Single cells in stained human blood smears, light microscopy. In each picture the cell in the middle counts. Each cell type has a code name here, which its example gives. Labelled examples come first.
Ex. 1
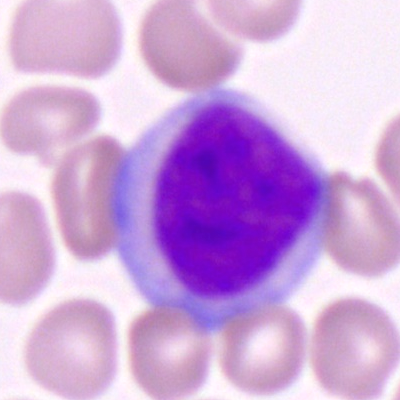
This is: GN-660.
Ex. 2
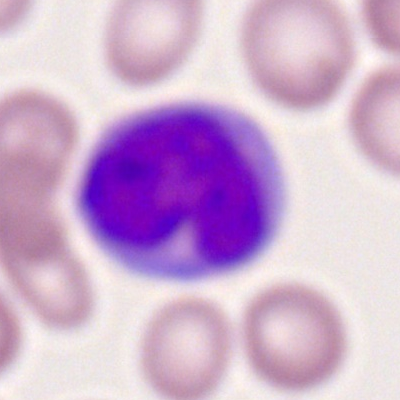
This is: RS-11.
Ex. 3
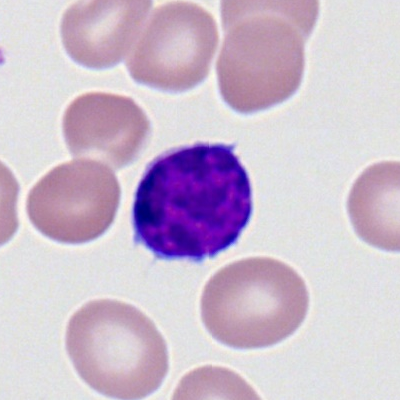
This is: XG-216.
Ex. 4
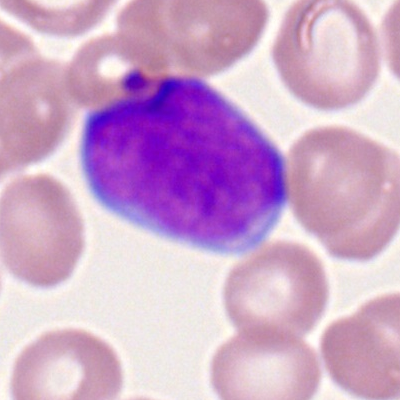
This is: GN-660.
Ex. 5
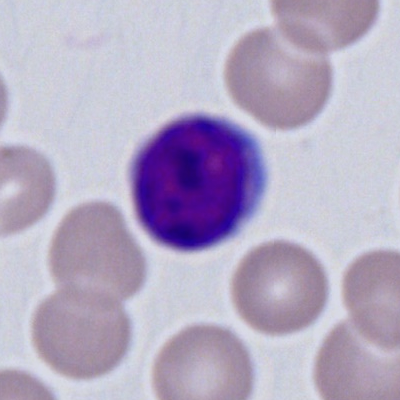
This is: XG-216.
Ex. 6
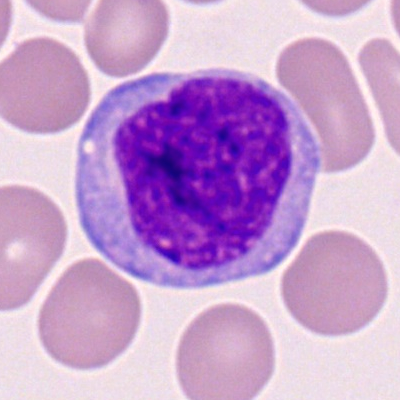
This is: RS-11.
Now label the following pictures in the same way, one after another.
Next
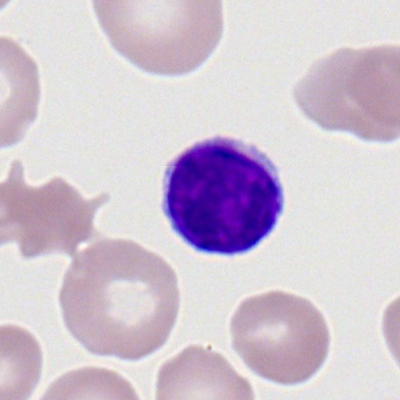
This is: XG-216.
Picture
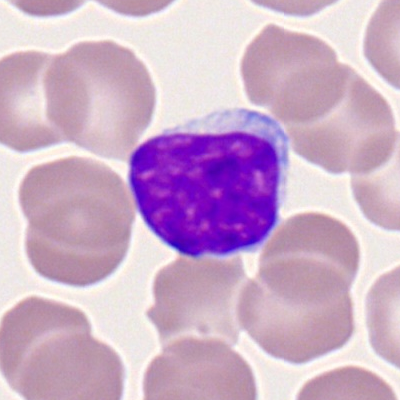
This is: XG-216.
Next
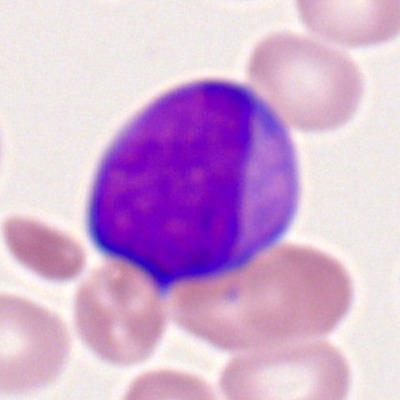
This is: GN-660.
